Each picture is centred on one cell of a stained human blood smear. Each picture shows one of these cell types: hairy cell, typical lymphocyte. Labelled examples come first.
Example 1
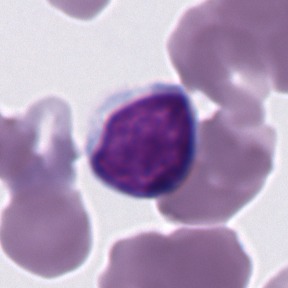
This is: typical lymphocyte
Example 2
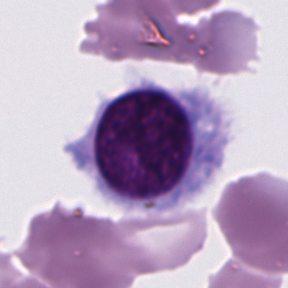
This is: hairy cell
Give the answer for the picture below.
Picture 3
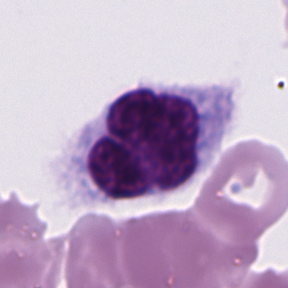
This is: hairy cell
